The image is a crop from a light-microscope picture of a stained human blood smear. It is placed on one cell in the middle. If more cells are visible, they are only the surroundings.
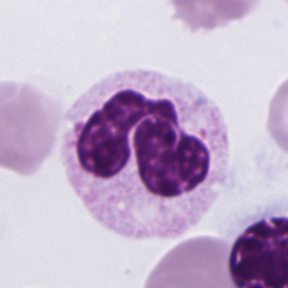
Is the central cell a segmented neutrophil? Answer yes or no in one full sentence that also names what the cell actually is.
Yes, this crop has a segmented neutrophil at its centre.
